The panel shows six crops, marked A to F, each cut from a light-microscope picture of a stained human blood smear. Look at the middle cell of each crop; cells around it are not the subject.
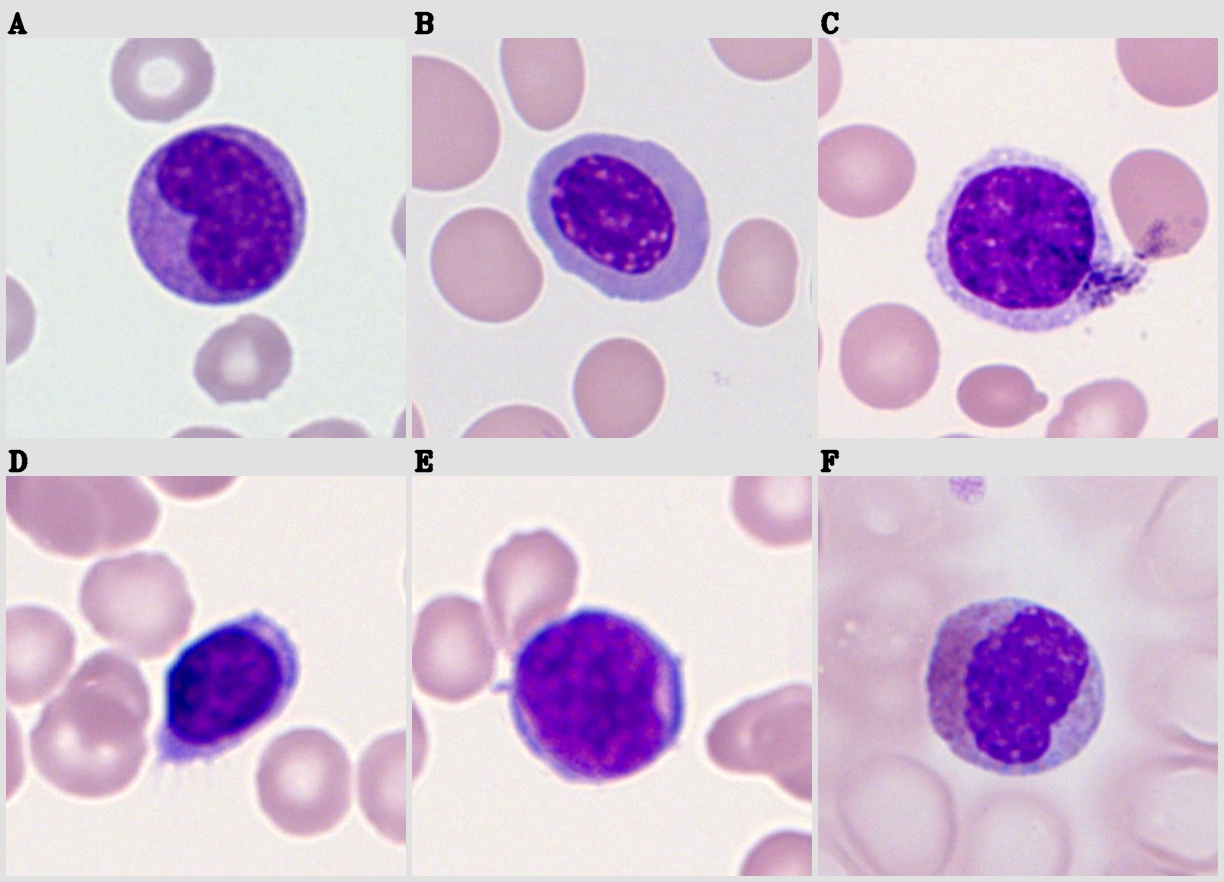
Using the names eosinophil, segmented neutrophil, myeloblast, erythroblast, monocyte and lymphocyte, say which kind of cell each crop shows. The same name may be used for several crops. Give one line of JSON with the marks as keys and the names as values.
{"A": "monocyte", "B": "erythroblast", "C": "lymphocyte", "D": "lymphocyte", "E": "myeloblast", "F": "eosinophil"}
